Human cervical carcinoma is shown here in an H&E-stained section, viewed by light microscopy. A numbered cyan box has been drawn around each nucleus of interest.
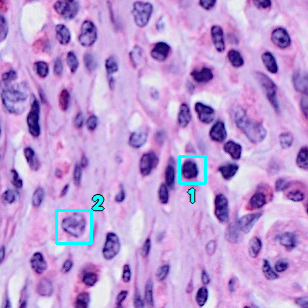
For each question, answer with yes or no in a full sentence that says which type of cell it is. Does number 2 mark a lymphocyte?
No, cell 2 is not a lymphocyte; it is a macrophage or monocyte.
